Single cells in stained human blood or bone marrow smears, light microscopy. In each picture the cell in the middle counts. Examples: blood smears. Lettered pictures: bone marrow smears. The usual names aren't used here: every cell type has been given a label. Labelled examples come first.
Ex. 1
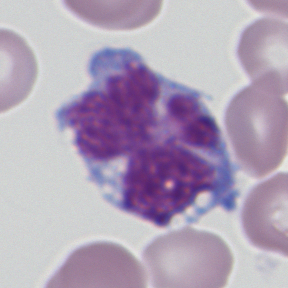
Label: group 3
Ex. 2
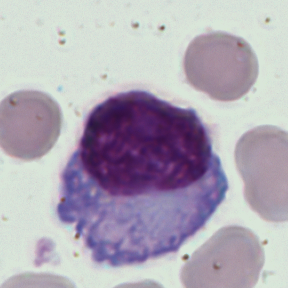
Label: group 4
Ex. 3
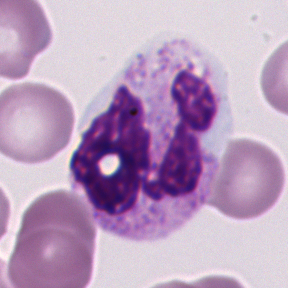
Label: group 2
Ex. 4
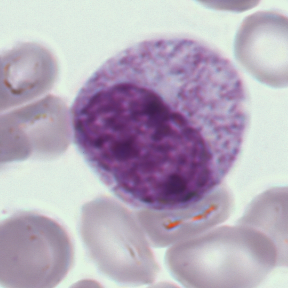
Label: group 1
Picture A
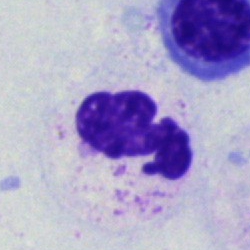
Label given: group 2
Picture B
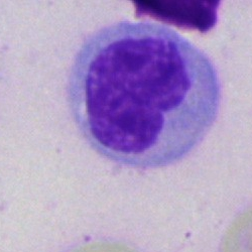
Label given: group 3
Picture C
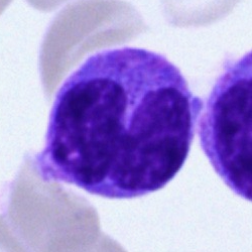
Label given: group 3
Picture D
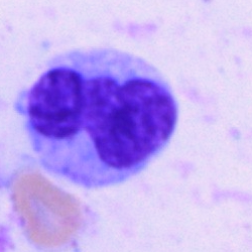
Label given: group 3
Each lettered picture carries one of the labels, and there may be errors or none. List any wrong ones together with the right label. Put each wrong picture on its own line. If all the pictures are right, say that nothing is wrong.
None of the labels needs changing.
